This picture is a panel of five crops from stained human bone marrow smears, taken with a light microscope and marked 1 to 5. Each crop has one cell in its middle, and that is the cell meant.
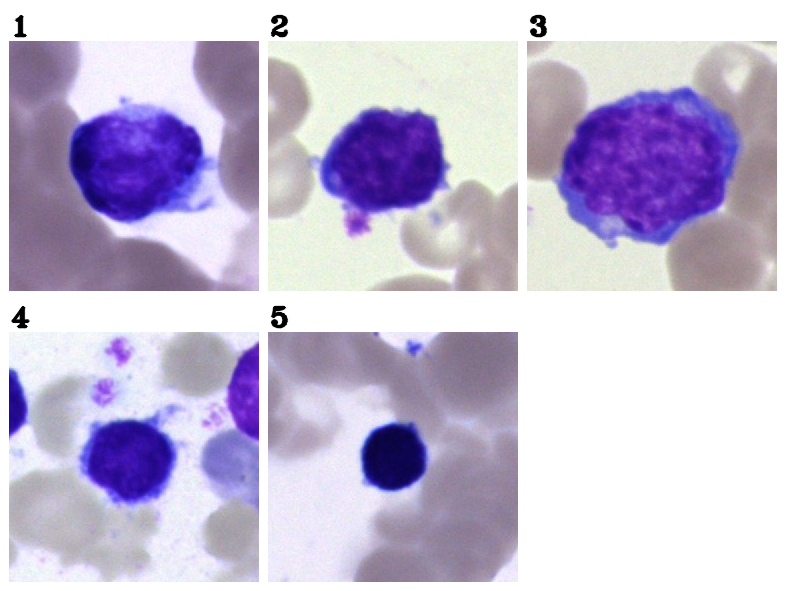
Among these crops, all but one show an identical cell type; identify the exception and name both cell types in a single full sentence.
Crop 3 is singled out as a blast, and all of the other crops show lymphocytes.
